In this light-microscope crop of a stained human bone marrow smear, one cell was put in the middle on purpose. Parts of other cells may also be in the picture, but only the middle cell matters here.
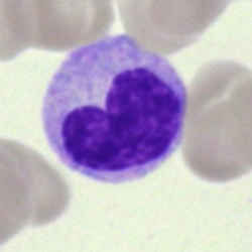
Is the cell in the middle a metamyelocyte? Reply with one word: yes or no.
yes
